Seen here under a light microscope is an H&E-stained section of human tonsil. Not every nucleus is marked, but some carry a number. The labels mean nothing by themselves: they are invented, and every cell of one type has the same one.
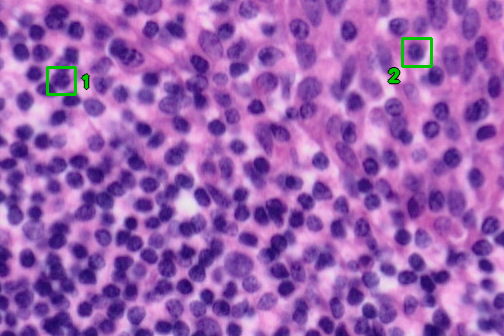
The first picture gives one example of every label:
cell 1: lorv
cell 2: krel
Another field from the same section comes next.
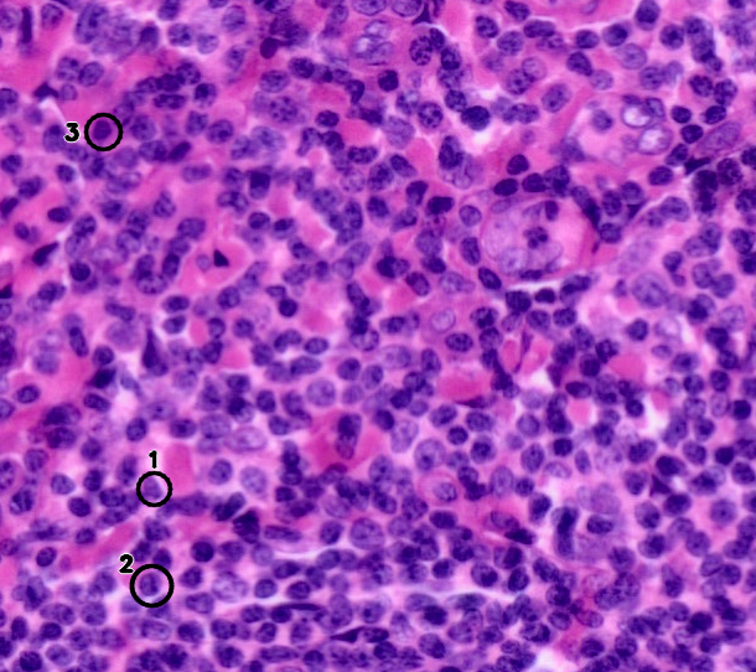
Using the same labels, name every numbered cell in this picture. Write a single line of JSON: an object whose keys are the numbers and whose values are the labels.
{"1": "lorv", "2": "lorv", "3": "krel"}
